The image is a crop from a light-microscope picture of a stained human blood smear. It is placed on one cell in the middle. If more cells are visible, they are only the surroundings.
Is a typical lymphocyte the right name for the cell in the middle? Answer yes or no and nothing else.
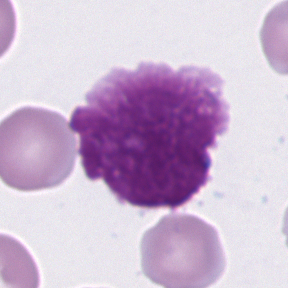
no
